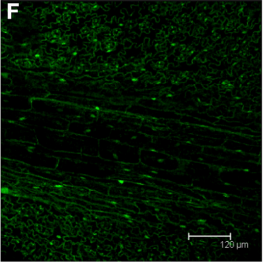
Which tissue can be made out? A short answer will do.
Vascular tissue.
